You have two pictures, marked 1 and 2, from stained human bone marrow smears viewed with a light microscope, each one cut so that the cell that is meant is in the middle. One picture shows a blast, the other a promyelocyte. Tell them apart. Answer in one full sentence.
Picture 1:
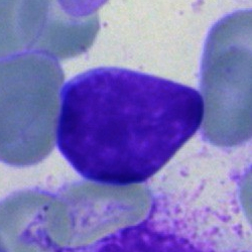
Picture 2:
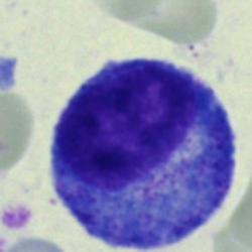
The cell in picture 1 is a blast, and the one in picture 2 is a promyelocyte.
